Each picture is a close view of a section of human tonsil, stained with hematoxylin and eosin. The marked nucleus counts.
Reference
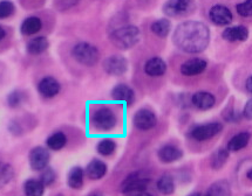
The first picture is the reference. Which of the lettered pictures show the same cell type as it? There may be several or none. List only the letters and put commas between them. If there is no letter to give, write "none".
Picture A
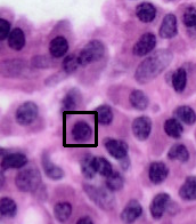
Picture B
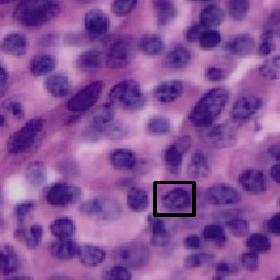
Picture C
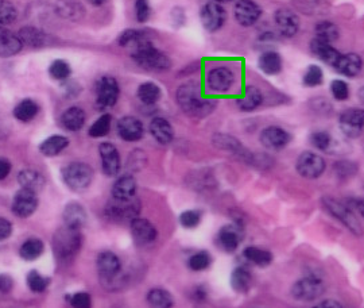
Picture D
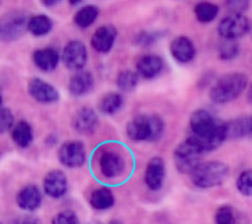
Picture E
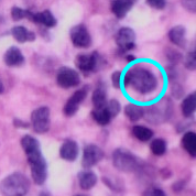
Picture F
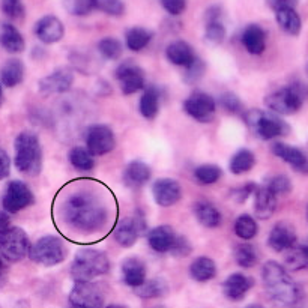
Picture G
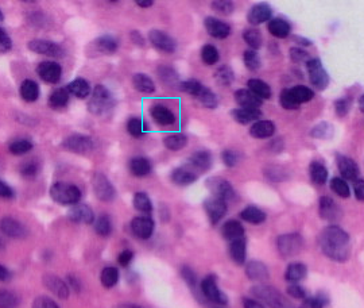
A, B, C, D, G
